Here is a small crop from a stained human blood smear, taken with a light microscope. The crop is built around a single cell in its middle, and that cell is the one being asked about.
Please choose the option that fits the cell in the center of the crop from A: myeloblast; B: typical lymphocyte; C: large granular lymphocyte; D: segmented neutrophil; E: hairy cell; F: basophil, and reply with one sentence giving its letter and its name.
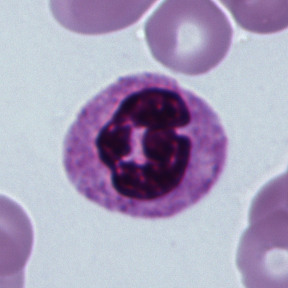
The correct option here is D; the middle cell is a segmented neutrophil.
